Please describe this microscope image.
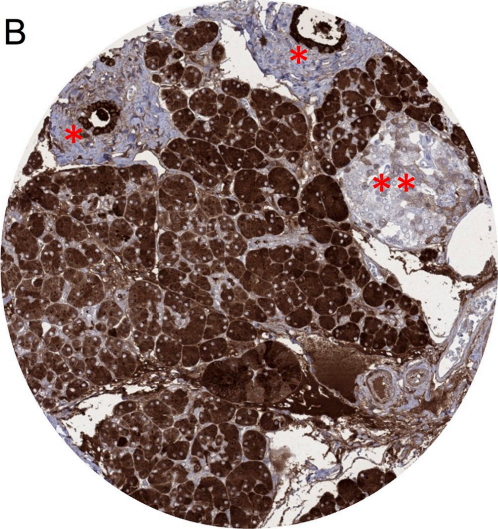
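Lobules of pancreatic acini stained dark brown occupy most of the field, separated by pale bluish fibrous septa. At the top, within blue stroma, lie two small round ducts whose lining epithelium is also dark brown around a clear lumen. To the right, a rounded pale cluster of cells with light cytoplasm and only faint brownish tinge stands out among the dark acini, an islet of Langerhans. Lower right, a small vessel sits in loose connective tissue, and some brown material fills a space near the center bottom.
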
